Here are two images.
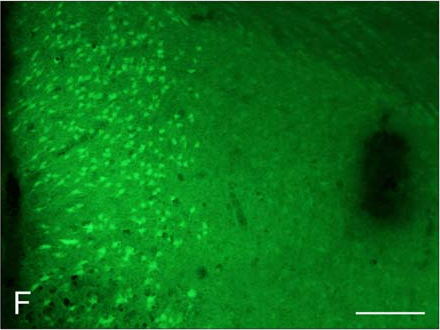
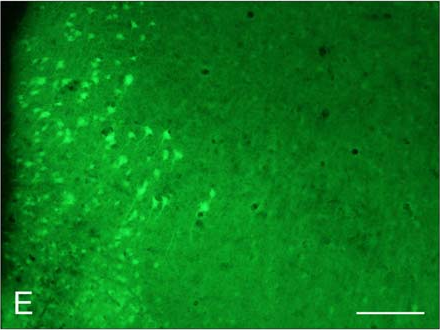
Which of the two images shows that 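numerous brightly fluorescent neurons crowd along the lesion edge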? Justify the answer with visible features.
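First image: a broad dense band of many bright green cell bodies. Second image: fewer, more scattered bright green cell bodies. So: the first image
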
